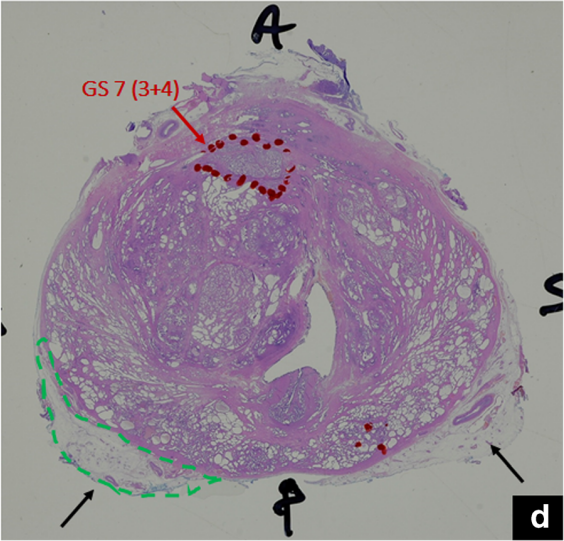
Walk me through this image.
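This is a whole-mount section through the gland, stained pink and purple, with a rounded outline and a thin fibrous rim around it. Inside, many small pale rounded spaces of glands lie in a denser pink stroma, grouped into lobule-like nodules, and a central slit-like lumen runs from the middle toward the back. Along the posterior margin and sides lies looser, paler tissue outside the dense rim.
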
